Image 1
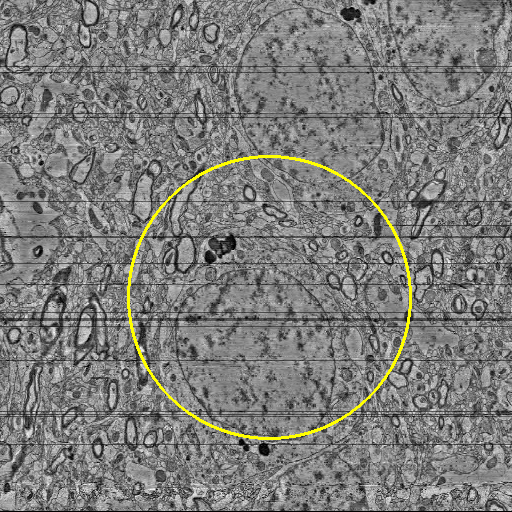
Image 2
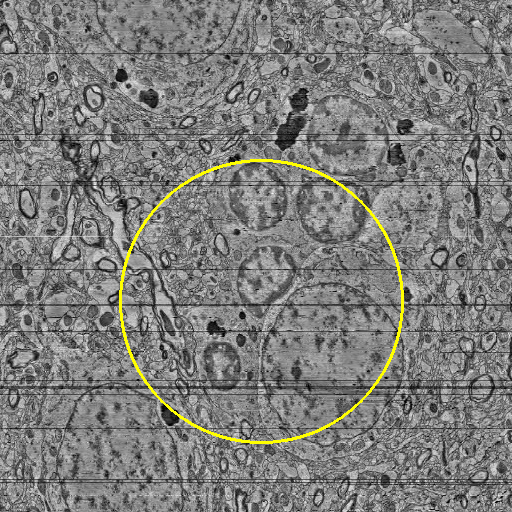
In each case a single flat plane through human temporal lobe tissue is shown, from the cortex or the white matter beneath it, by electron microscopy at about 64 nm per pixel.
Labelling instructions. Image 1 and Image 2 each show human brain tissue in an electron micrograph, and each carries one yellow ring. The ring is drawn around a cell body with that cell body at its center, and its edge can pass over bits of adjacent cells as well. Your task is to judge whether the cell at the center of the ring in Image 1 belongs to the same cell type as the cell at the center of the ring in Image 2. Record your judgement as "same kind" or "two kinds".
two kinds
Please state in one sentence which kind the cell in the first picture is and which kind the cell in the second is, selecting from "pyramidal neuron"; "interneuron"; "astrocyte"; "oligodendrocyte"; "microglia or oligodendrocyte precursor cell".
The first ringed cell is a pyramidal neuron, the second ringed cell an oligodendrocyte.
